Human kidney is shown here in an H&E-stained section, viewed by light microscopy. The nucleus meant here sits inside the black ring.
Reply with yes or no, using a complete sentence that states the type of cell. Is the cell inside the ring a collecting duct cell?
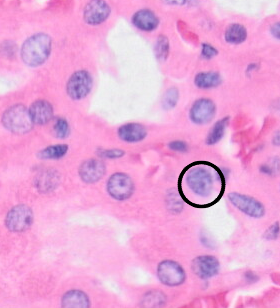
Yes, in short, the cell inside the ring is a collecting duct cell here.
